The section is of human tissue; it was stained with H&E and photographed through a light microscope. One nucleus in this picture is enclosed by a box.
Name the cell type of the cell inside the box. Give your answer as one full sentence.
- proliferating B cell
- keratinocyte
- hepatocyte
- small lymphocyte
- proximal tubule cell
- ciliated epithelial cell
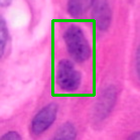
It is as a keratinocyte that the cell inside the box is recorded.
